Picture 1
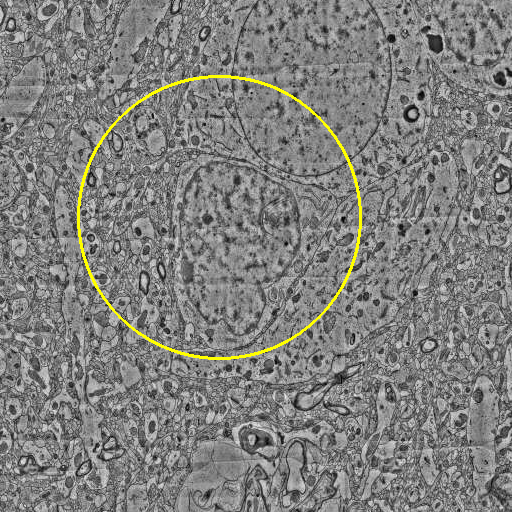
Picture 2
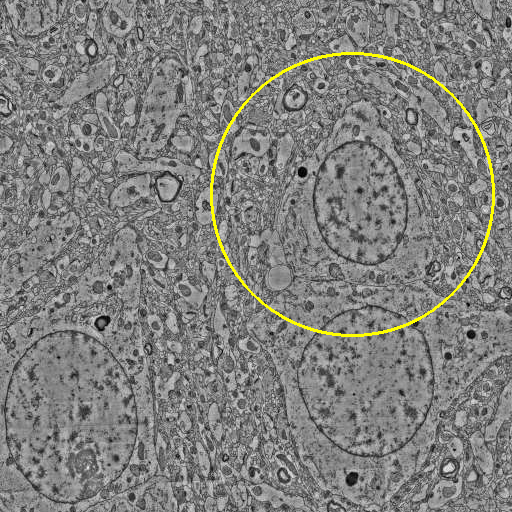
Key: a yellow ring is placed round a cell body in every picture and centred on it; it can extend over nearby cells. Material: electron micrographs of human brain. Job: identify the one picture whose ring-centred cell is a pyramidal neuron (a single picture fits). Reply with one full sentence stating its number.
Picture 2 is the one with the sought cell at the centre of its ring.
